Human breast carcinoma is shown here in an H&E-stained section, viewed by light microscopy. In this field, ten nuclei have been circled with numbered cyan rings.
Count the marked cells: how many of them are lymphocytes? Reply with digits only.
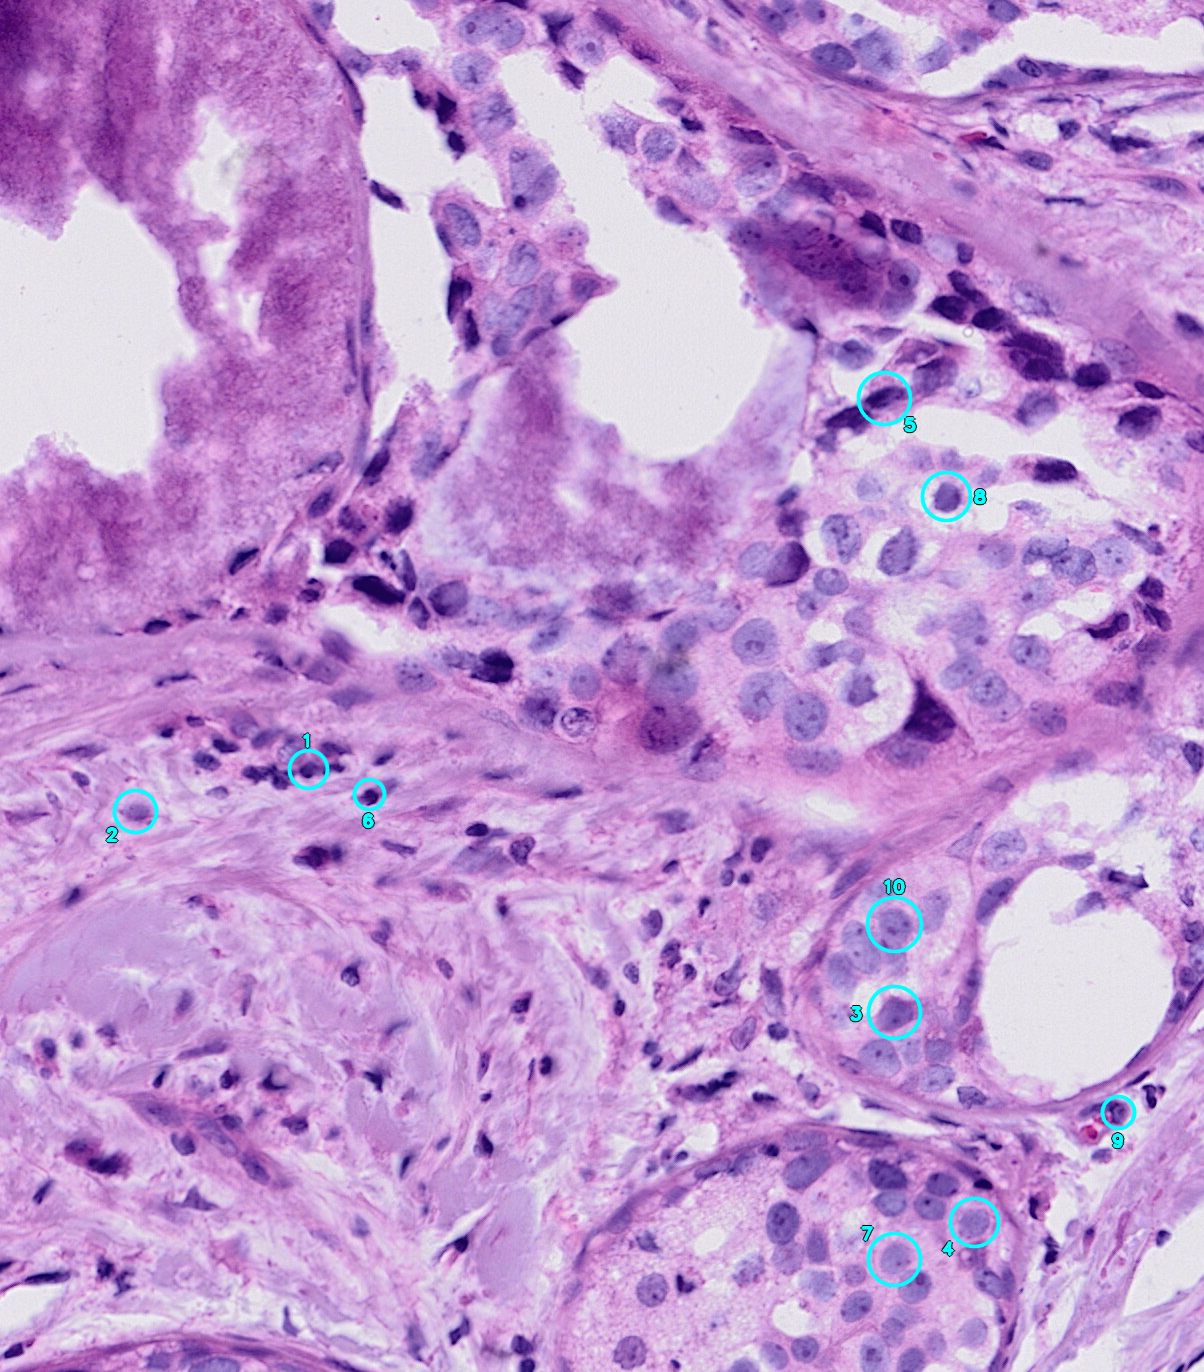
2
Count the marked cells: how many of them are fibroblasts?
1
